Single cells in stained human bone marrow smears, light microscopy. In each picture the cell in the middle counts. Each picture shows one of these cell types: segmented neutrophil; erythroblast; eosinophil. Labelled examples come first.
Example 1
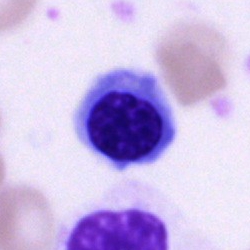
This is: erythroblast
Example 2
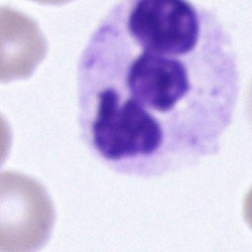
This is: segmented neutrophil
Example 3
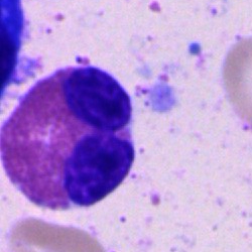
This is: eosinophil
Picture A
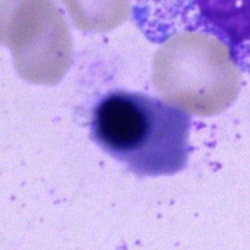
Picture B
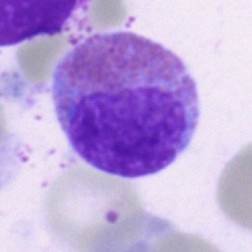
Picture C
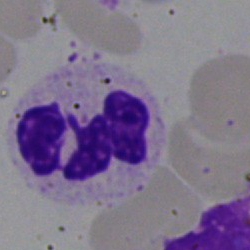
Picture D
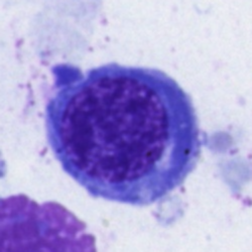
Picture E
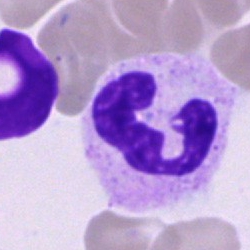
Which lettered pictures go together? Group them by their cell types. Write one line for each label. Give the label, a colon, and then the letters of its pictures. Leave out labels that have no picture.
segmented neutrophil: C, E
erythroblast: A, D
eosinophil: B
